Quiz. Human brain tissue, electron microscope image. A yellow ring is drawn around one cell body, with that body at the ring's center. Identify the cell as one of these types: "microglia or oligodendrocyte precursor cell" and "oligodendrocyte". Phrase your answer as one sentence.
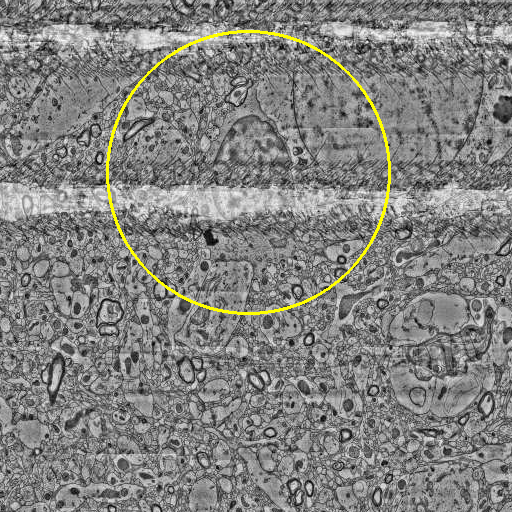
At the center of the ring sits an oligodendrocyte.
